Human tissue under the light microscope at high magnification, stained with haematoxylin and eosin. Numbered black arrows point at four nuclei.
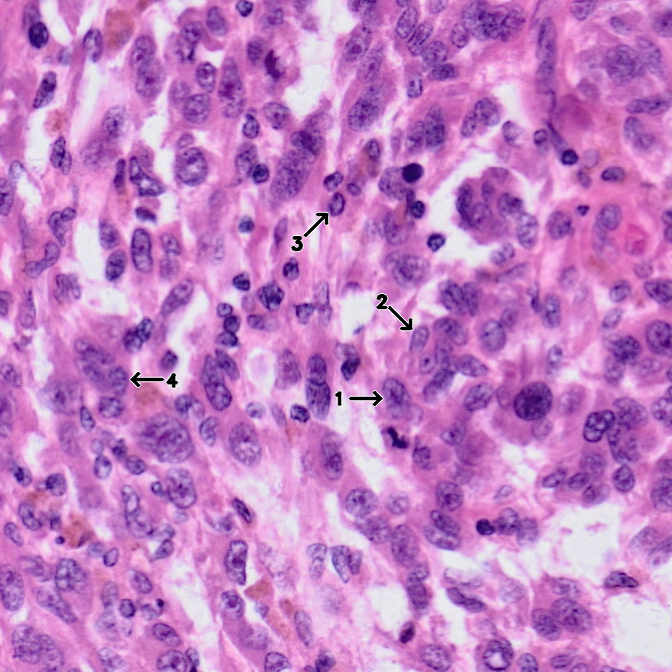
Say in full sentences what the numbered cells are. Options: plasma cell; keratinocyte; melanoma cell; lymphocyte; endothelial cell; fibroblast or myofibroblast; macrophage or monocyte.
Cell 1 is a melanoma cell, cell 2 is a melanoma cell, cell 3 is a macrophage or monocyte and cell 4 is a melanoma cell.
